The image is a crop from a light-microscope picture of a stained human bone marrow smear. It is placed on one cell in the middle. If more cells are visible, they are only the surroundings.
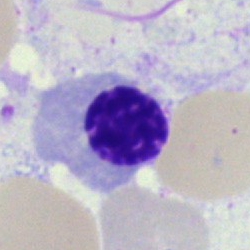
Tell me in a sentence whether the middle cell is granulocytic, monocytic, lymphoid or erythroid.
The cell found in the center of the crop is of the erythroid lineage.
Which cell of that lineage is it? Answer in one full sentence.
The cell in the exact centre of the crop is an erythroblast.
